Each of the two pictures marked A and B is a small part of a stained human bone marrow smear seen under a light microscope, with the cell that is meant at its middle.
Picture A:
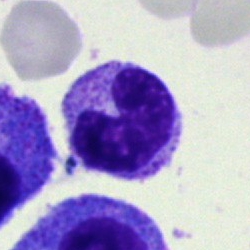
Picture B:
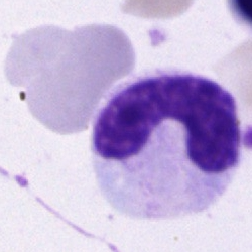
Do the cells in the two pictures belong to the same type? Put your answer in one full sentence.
Yes, both are band neutrophils.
